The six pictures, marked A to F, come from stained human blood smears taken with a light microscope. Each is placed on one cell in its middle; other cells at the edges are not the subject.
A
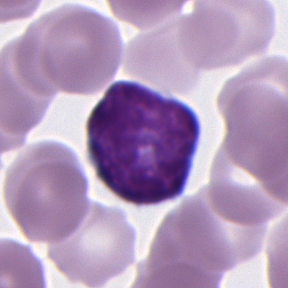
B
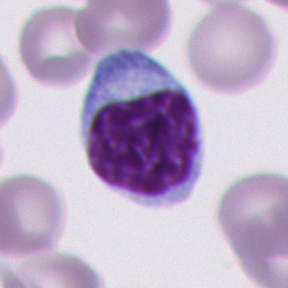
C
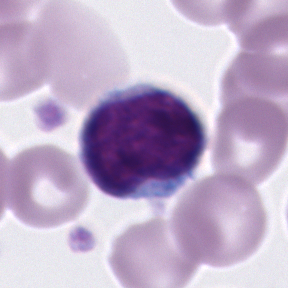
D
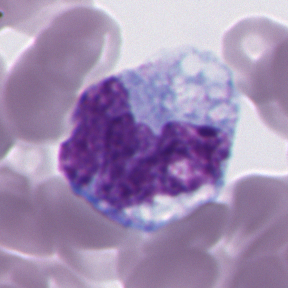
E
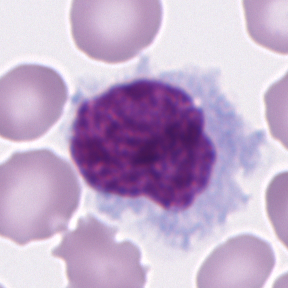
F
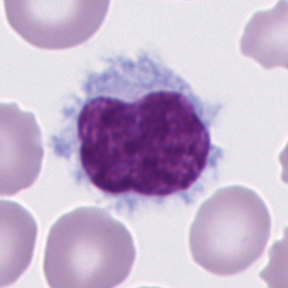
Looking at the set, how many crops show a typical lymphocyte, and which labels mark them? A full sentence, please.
Of the crops given, three contain typical lymphocytes, and these are A, B and C.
